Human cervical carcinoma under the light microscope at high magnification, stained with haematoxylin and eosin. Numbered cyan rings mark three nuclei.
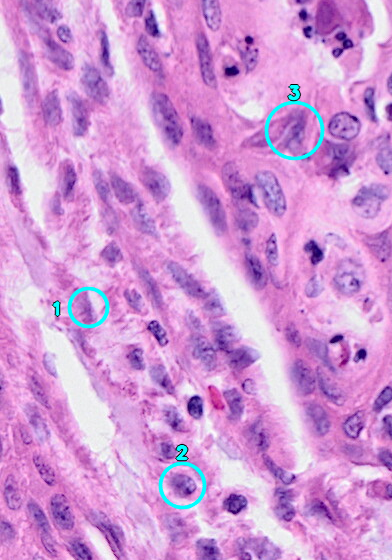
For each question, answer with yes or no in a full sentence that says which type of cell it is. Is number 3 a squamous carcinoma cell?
Yes, that one, number 3, is a squamous carcinoma cell.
